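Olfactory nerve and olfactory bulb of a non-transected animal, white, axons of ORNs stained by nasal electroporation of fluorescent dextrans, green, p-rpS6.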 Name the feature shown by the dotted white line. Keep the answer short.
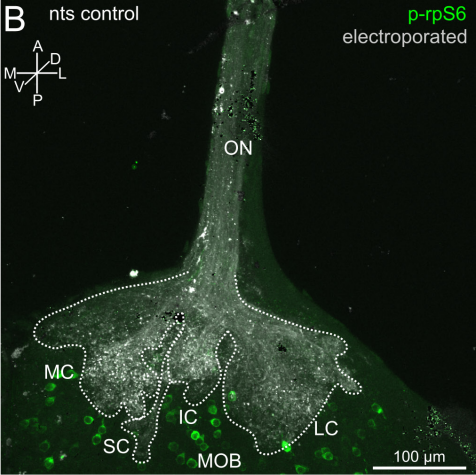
Glomerular clusters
